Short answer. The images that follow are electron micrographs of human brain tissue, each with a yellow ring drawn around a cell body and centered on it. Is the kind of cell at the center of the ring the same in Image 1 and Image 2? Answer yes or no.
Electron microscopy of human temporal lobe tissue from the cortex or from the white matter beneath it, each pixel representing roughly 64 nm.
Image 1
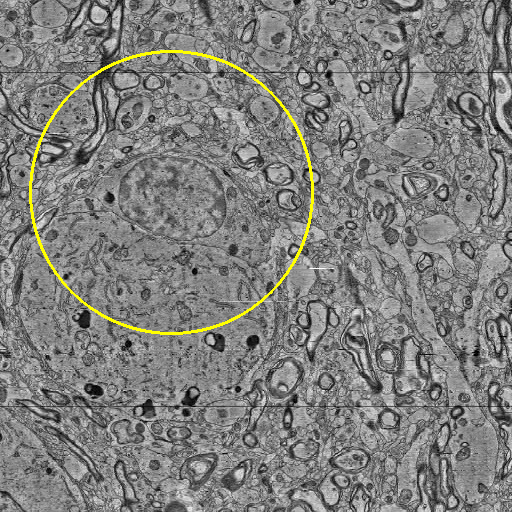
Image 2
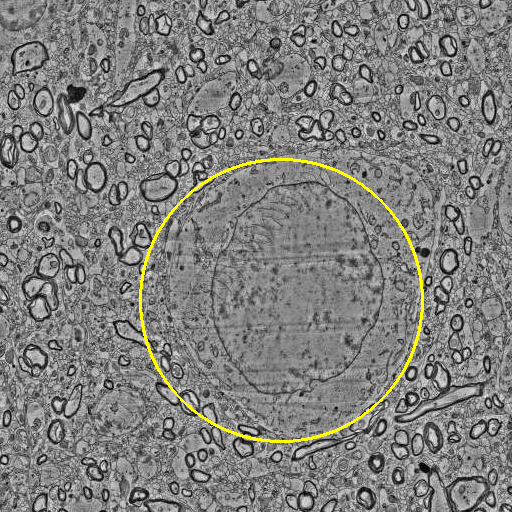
no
